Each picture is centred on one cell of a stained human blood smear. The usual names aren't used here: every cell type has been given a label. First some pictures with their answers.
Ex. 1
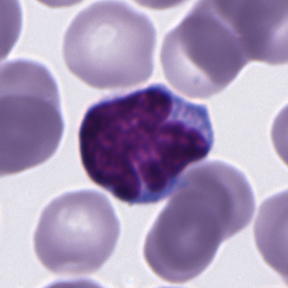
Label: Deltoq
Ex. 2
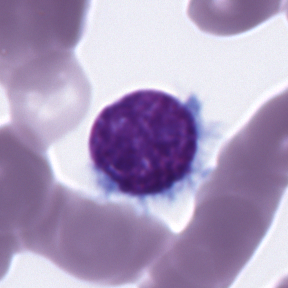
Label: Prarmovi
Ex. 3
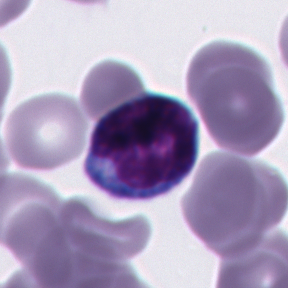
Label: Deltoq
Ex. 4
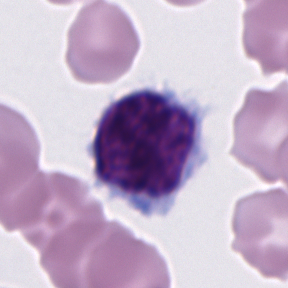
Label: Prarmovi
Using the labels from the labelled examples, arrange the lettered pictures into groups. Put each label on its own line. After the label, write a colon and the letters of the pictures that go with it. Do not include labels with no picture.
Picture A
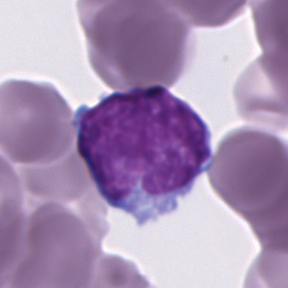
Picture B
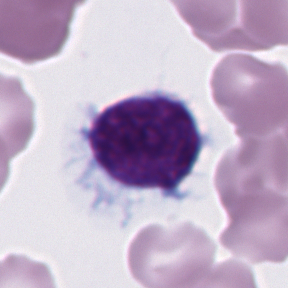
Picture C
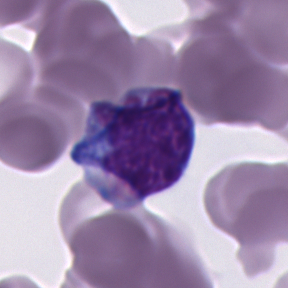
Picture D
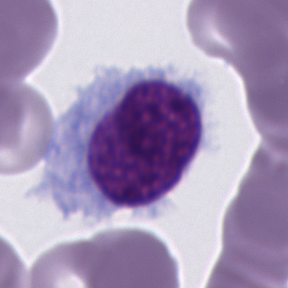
Deltoq: A, C
Prarmovi: B, D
